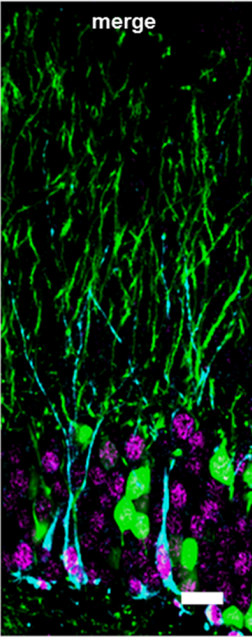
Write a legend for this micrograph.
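This is the granule cell layer of the dentate gyrus with its molecular layer above. In the lower third, round magenta nuclei crowd together in a band; some of them sit inside bright green, rounded cell bodies. Thin cyan cells lie at the very base of the layer, each with a small body and a slender process that climbs through the cell layer and forks in the lower molecular layer. The green cells send many fine, parallel, branching processes upward into the molecular layer. Cyan and green do not overlap in the same cell, while both kinds sit among the magenta nuclei.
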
